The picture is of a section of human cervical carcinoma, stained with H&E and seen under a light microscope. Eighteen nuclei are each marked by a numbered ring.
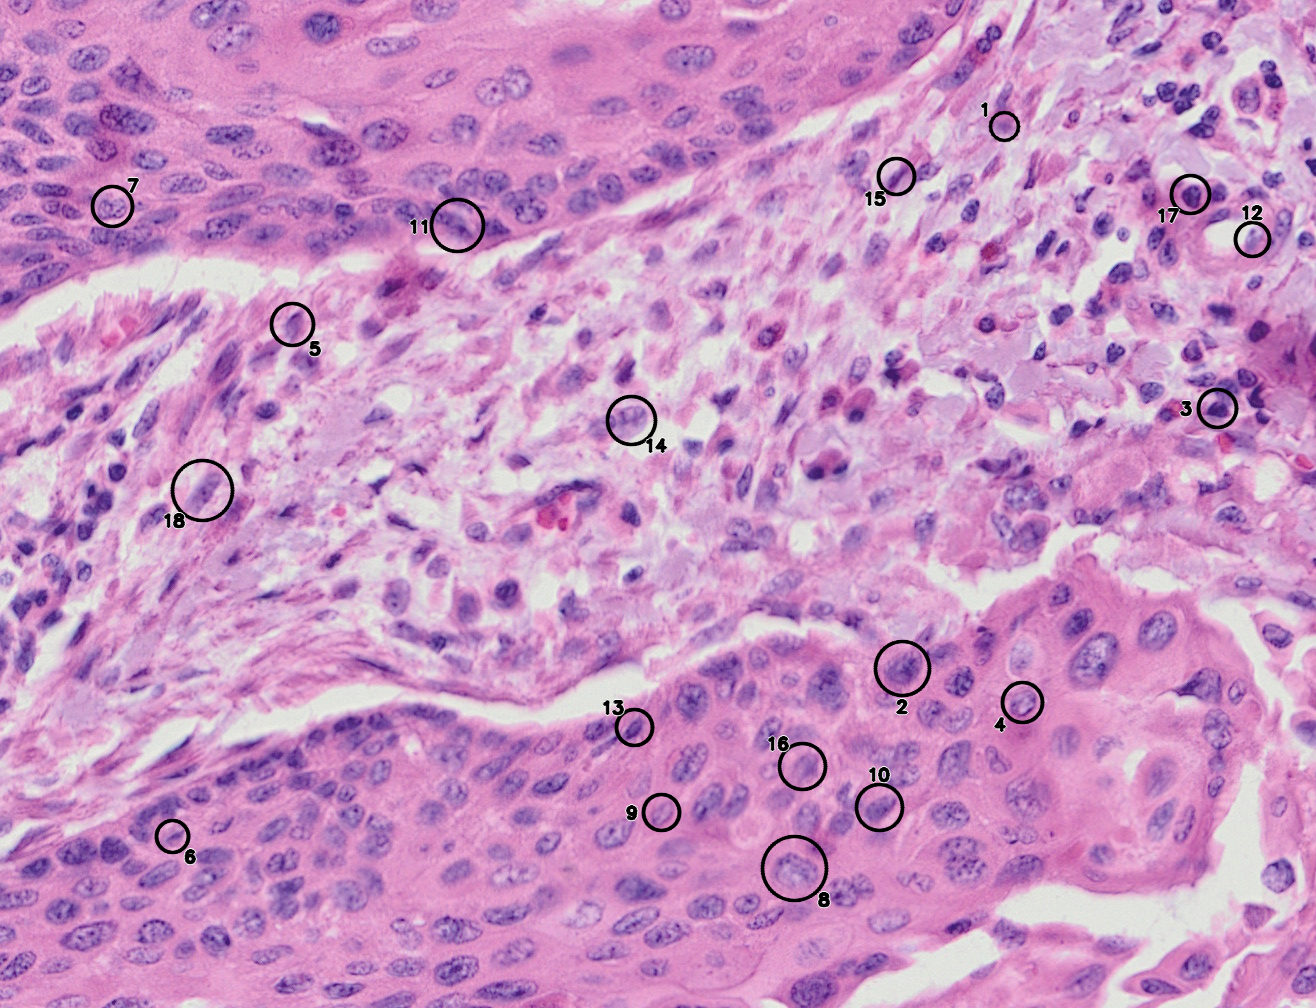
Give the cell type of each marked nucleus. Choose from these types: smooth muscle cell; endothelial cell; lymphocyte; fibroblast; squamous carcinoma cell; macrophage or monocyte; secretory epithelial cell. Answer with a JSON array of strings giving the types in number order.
["fibroblast", "squamous carcinoma cell", "lymphocyte", "squamous carcinoma cell", "fibroblast", "squamous carcinoma cell", "squamous carcinoma cell", "squamous carcinoma cell", "squamous carcinoma cell", "squamous carcinoma cell", "squamous carcinoma cell", "endothelial cell", "squamous carcinoma cell", "fibroblast", "fibroblast", "squamous carcinoma cell", "lymphocyte", "fibroblast"]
